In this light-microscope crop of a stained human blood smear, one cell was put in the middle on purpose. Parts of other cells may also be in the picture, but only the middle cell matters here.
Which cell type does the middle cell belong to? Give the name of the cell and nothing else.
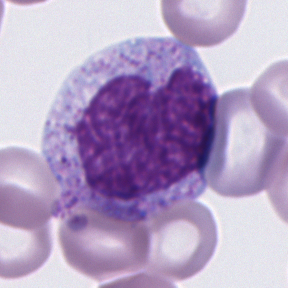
myelocyte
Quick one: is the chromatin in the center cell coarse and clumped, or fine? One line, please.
The chromatin is fine, with no coarse clumping anywhere.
